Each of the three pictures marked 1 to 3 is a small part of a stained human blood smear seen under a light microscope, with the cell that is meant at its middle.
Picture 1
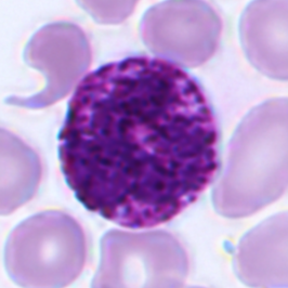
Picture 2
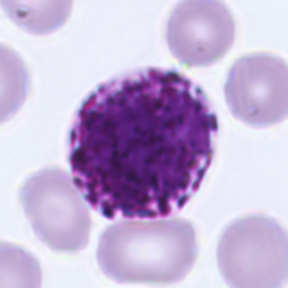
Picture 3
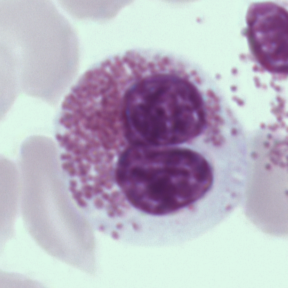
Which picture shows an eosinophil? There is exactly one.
3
